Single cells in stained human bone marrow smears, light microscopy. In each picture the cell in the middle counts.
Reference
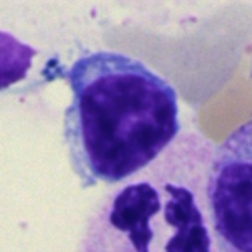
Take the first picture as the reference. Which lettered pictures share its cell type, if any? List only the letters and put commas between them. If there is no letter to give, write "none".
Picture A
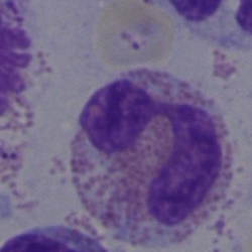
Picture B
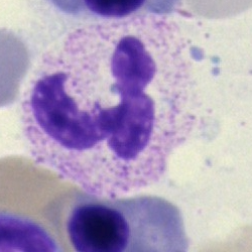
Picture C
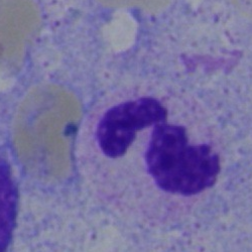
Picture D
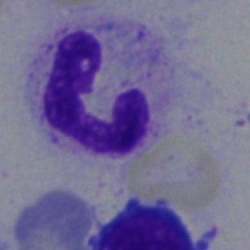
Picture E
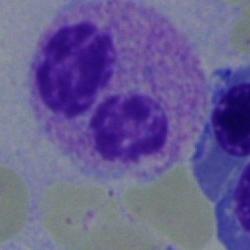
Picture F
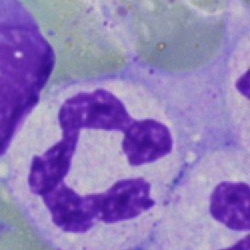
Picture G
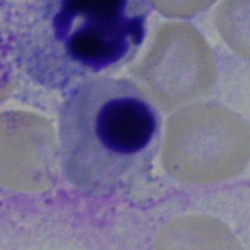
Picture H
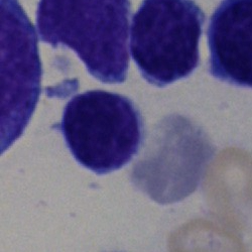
H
